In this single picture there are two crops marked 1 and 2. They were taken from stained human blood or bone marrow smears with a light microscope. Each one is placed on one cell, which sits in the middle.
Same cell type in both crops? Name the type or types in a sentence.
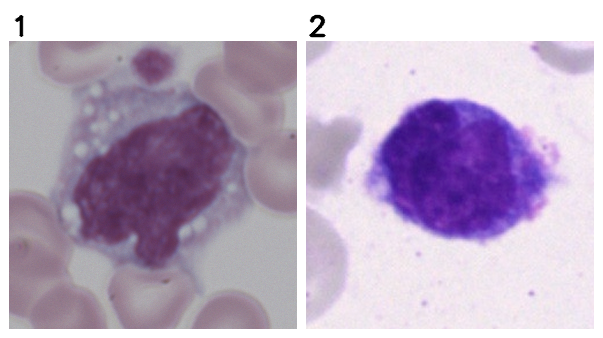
Yes, both the first crop and the second crop show monocytes.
